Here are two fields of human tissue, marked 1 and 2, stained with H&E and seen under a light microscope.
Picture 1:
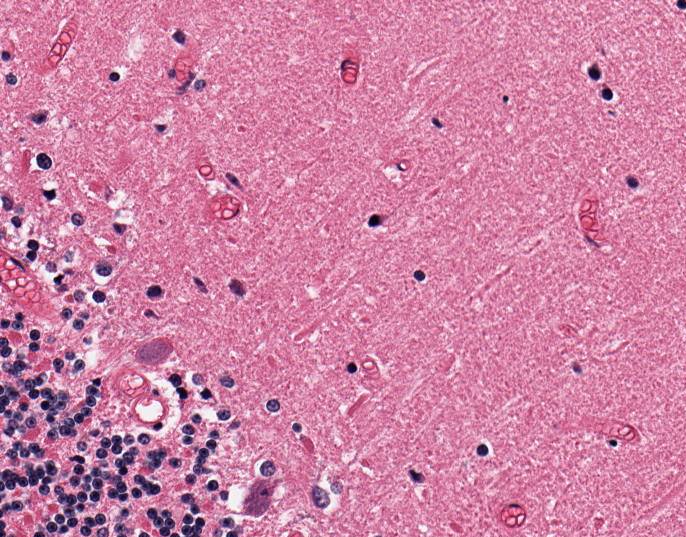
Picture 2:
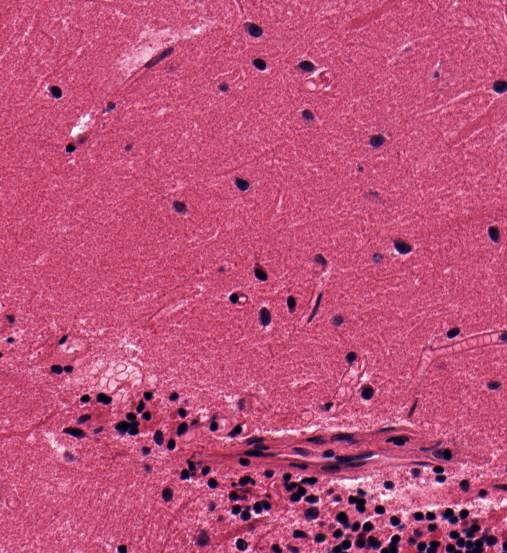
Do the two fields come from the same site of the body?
yes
